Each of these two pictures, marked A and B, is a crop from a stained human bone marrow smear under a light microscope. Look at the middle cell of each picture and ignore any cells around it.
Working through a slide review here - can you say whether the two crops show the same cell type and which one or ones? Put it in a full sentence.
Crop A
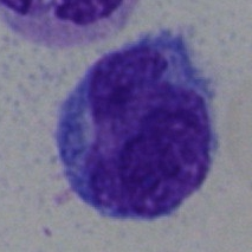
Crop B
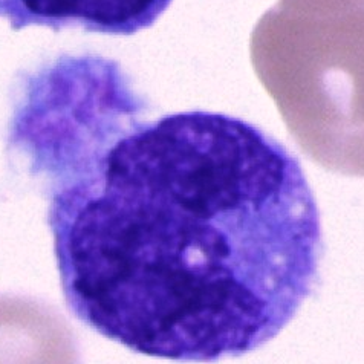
Yes, the crops both have monocytes in the middle.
